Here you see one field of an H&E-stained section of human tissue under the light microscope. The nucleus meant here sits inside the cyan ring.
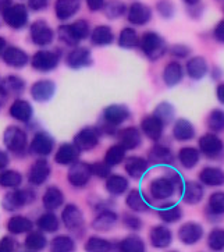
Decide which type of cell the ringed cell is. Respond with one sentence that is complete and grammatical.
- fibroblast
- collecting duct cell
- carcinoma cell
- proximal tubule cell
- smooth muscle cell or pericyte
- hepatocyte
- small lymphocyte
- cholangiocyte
Cell type answer for this item: the ringed cell is a small lymphocyte.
